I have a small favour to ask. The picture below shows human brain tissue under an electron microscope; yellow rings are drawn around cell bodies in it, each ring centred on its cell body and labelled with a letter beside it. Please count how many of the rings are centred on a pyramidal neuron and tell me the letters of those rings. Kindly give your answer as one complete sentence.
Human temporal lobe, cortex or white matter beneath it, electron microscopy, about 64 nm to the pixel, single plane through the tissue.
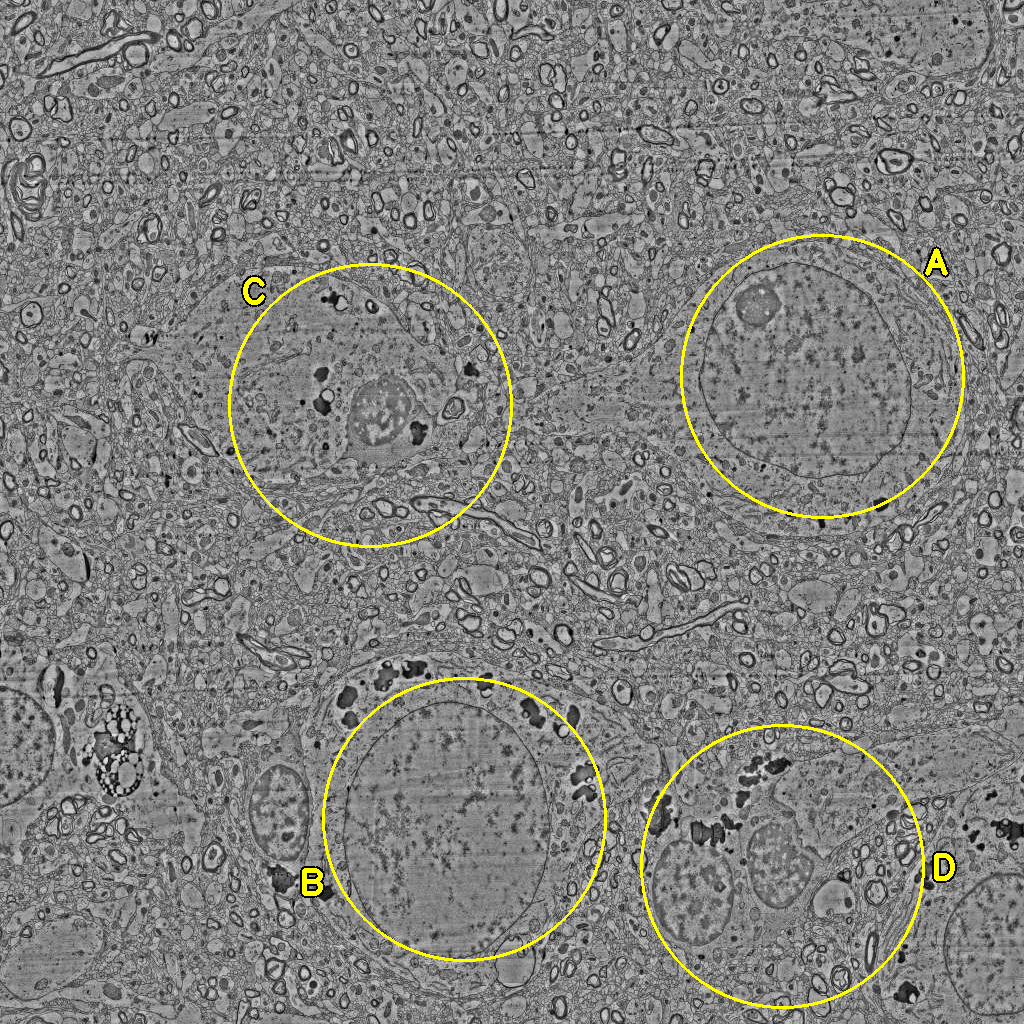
There are two rings centred on a pyramidal neuron each, and they are the ones with the letters A and B.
